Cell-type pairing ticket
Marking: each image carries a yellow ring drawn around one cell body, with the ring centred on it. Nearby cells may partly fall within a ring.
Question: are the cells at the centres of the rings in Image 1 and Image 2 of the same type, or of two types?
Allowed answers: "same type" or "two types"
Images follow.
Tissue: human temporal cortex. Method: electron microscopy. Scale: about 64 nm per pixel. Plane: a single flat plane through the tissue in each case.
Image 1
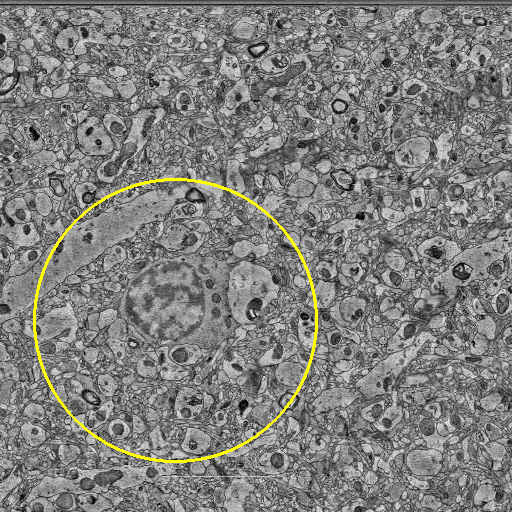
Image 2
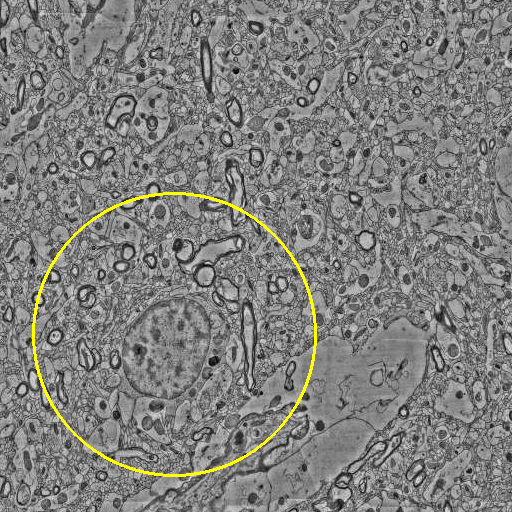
same type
